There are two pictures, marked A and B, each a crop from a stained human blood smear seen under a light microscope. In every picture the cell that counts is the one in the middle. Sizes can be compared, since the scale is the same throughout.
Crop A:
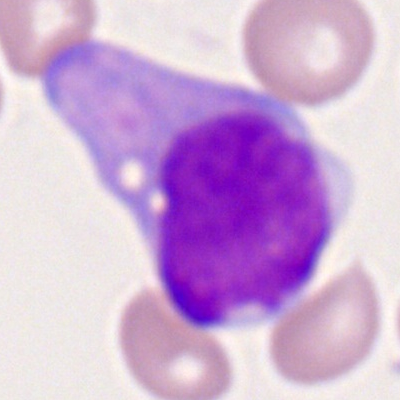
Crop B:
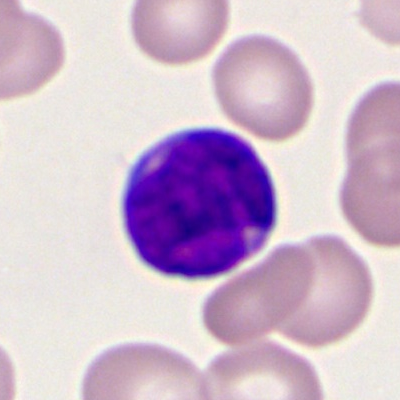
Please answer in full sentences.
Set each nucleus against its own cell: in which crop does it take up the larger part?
In crop B the nucleus takes up the larger part of its cell.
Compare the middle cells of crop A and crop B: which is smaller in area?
Crop B holds the smaller cell, since the cell in crop A covers about 2.5 times as much area.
